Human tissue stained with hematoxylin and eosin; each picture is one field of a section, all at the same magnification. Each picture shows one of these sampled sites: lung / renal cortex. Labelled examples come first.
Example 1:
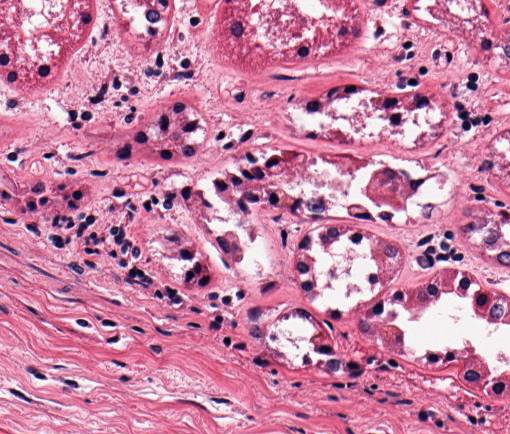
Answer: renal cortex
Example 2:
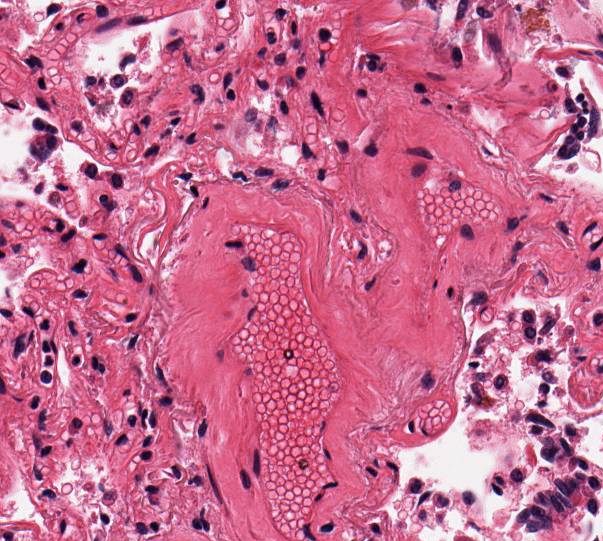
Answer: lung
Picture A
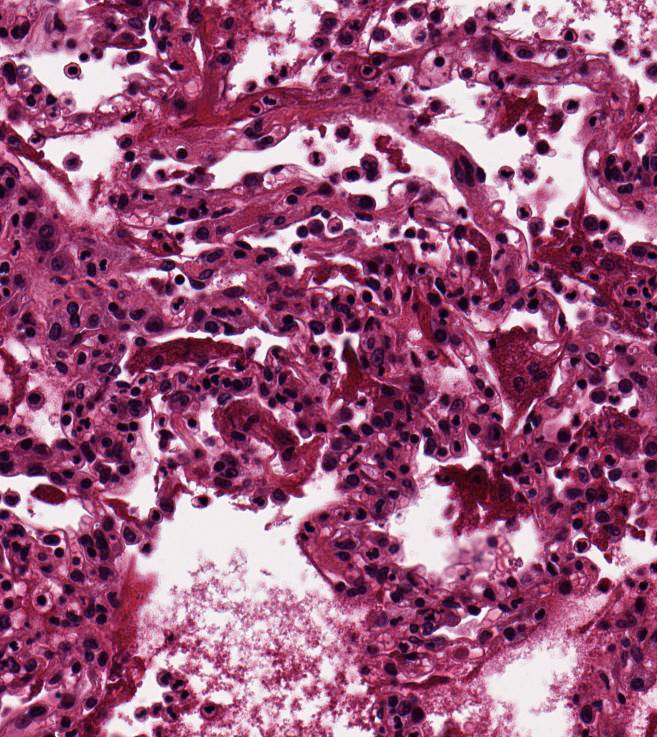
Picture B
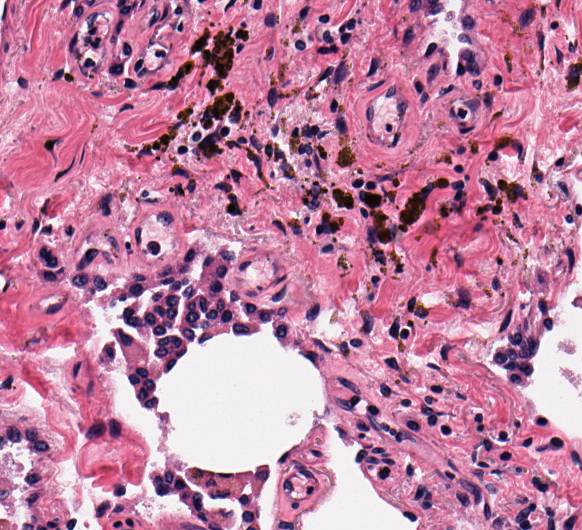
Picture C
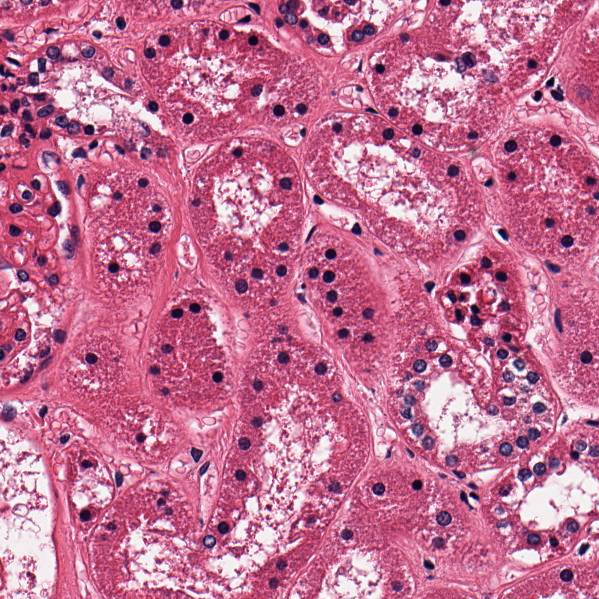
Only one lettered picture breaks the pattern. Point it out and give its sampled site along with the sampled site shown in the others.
Odd one out: C (renal cortex). The rest: lung.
